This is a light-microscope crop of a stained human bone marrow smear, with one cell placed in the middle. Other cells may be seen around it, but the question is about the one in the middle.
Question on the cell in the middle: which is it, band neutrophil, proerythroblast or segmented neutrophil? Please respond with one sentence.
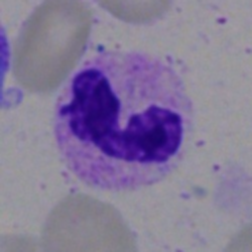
Of the cells in this crop, the central one is a segmented neutrophil.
